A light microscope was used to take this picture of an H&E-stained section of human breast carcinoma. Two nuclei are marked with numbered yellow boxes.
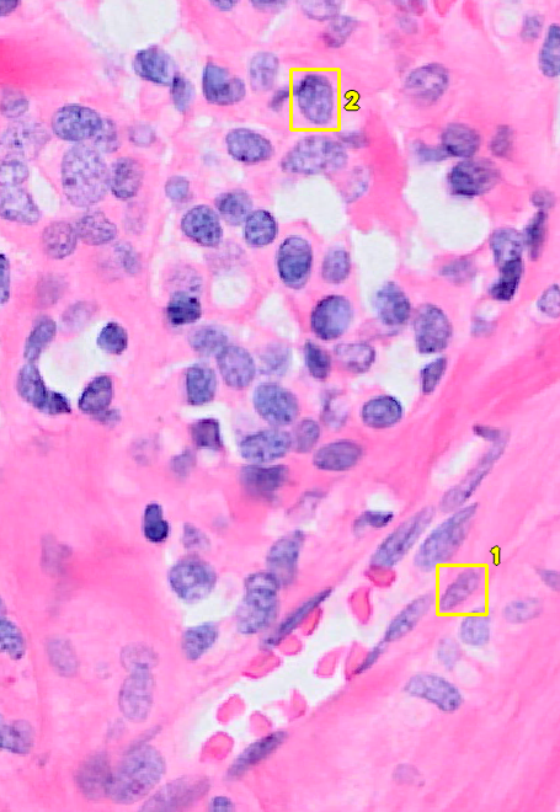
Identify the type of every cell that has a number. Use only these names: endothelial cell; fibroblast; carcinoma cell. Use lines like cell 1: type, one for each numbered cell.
cell 1: endothelial cell
cell 2: carcinoma cell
